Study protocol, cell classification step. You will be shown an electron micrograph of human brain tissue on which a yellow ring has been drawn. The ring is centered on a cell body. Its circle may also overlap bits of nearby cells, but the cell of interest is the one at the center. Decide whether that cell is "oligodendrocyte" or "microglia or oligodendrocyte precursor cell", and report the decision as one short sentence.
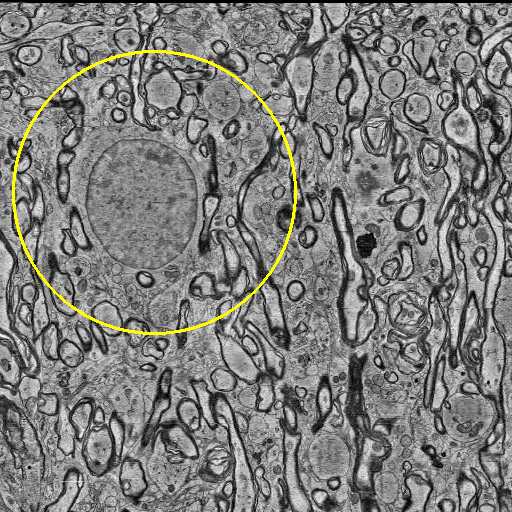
The marked cell is an oligodendrocyte.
